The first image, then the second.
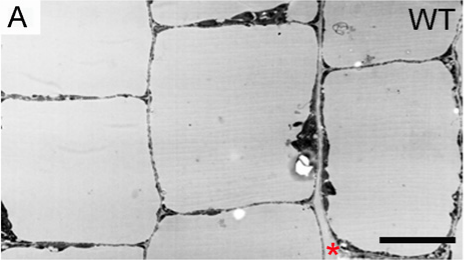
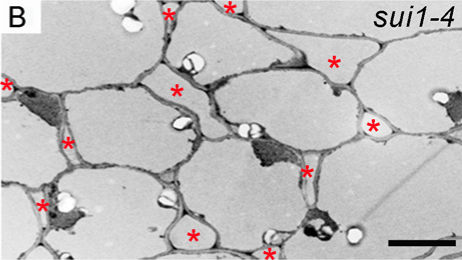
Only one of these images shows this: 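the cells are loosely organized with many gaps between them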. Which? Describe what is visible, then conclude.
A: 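Second image: rounded cells separated by many intercellular gaps at their corners. First image: large rectangular cells with walls pressed tightly against each other and few gaps.
Answer: the second image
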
